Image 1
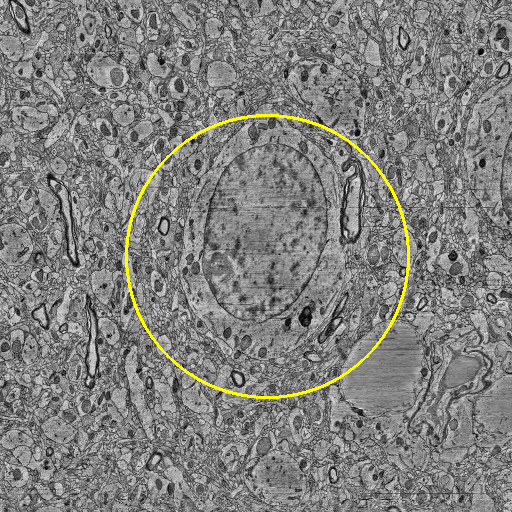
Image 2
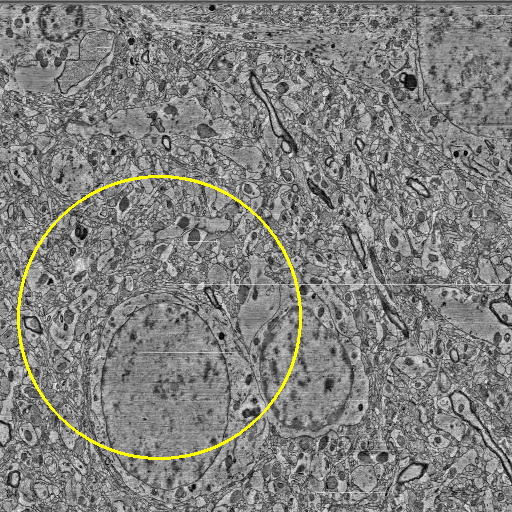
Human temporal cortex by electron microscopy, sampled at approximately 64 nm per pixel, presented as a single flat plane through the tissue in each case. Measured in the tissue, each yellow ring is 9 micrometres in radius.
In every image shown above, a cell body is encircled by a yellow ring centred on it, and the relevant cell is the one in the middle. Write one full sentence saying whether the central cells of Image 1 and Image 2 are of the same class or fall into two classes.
The cell at the ring's centre in Image 1 and its counterpart in Image 2 are of the same class.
